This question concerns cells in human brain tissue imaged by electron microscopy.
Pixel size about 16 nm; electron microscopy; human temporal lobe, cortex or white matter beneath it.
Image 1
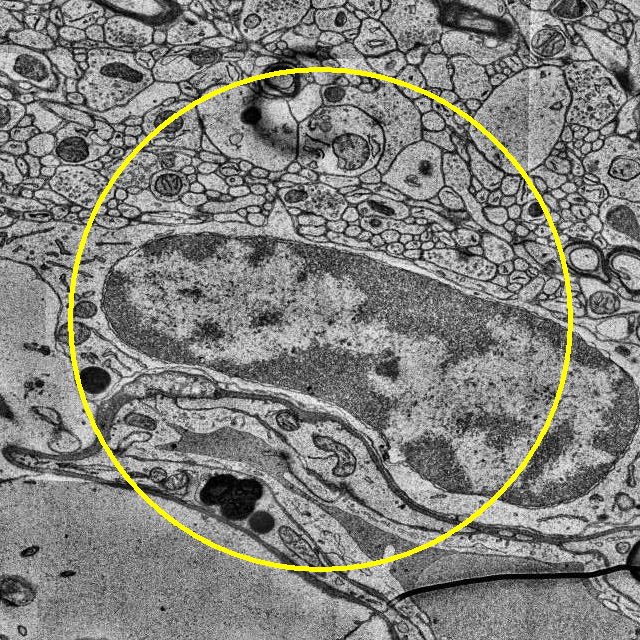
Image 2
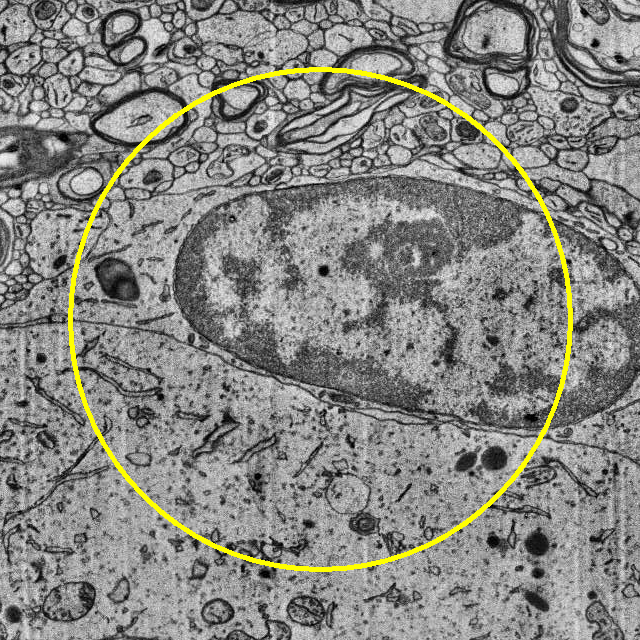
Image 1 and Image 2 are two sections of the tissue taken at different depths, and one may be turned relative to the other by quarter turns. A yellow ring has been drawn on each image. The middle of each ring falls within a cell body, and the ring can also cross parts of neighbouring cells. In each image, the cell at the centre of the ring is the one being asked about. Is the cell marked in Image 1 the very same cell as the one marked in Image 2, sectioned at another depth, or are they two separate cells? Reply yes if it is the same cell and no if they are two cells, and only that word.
no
